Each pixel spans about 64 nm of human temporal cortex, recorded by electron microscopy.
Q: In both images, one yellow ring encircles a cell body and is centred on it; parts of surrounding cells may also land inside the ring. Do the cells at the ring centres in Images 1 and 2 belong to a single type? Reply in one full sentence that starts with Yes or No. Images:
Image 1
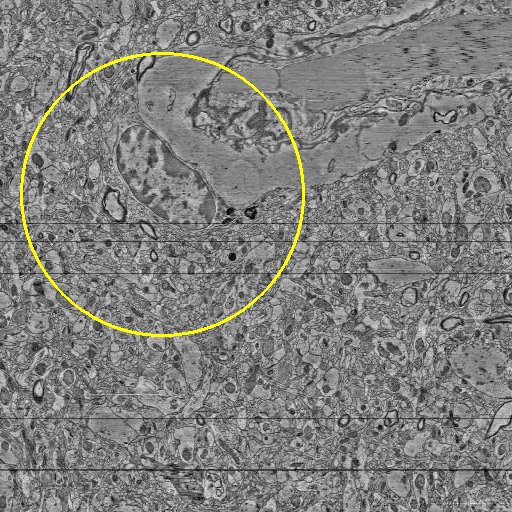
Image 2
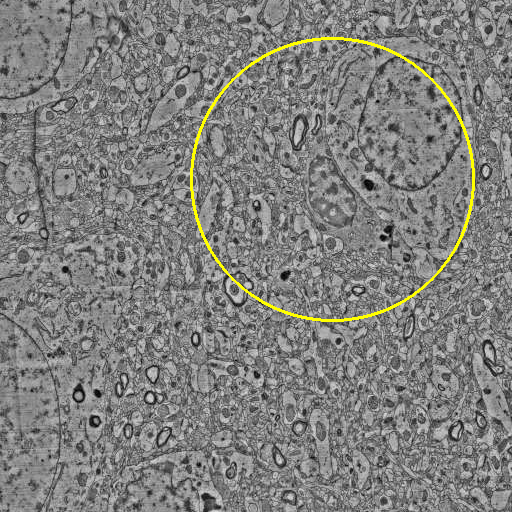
No, the cells at the ring centres in Images 1 and 2 are of two types.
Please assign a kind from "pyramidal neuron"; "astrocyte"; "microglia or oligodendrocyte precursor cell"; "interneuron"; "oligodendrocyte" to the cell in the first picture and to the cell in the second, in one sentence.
In the first picture we have a microglial cell or oligodendrocyte precursor cell, and in the second, an oligodendrocyte.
